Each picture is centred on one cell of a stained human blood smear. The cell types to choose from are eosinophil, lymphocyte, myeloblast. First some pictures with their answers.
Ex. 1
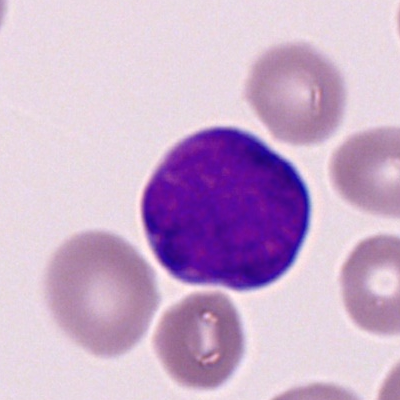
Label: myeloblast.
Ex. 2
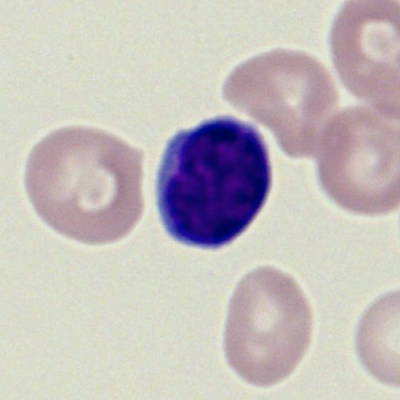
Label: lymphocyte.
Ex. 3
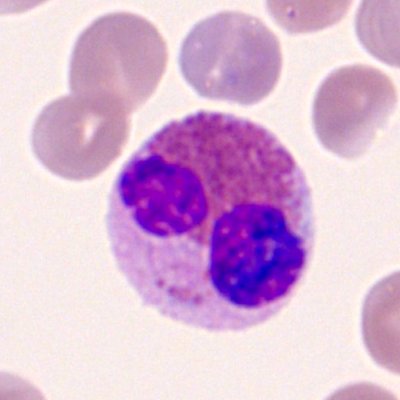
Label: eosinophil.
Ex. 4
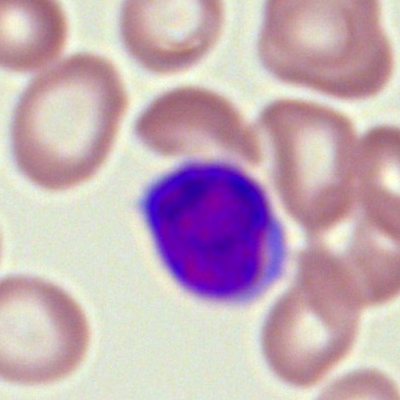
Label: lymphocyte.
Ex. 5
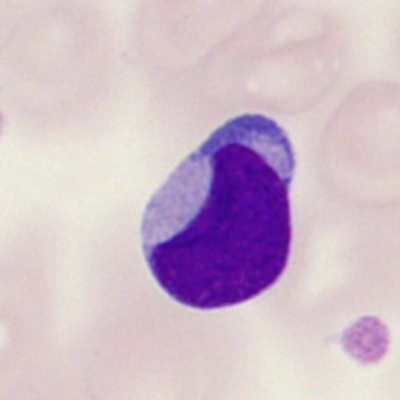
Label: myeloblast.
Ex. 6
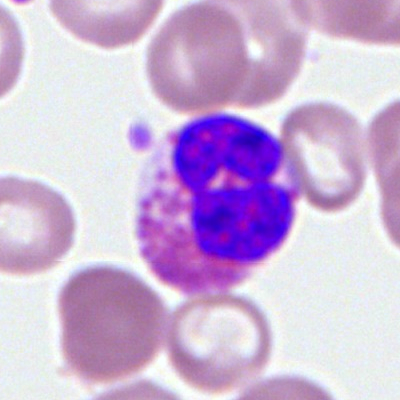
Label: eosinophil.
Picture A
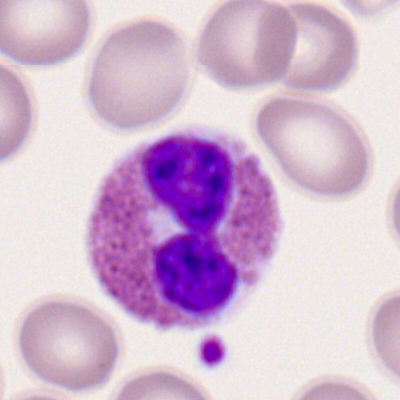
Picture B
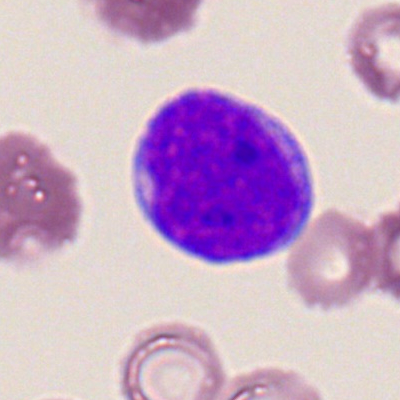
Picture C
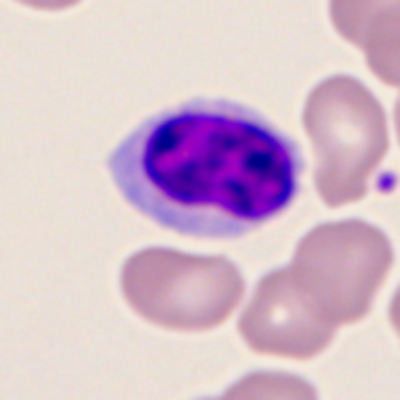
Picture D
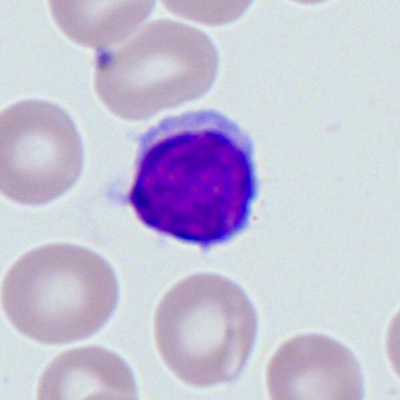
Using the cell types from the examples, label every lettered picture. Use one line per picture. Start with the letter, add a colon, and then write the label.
A: eosinophil.
B: myeloblast.
C: lymphocyte.
D: lymphocyte.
